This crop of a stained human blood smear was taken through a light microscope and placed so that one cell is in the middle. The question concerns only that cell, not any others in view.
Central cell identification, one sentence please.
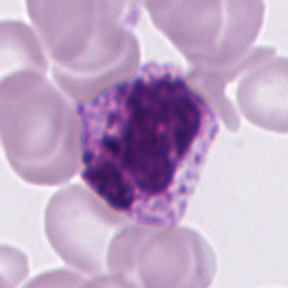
This crop's central cell is a basophil.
